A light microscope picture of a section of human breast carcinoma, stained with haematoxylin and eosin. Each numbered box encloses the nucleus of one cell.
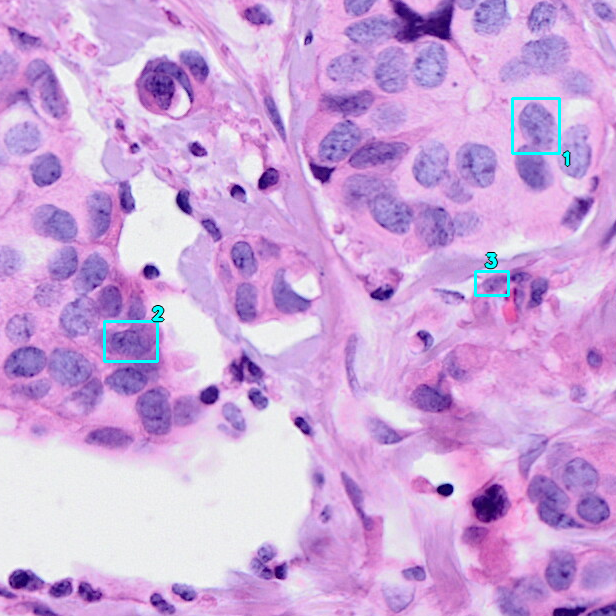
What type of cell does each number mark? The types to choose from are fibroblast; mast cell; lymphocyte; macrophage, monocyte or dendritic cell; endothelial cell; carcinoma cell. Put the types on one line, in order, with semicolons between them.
carcinoma cell; carcinoma cell; endothelial cell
